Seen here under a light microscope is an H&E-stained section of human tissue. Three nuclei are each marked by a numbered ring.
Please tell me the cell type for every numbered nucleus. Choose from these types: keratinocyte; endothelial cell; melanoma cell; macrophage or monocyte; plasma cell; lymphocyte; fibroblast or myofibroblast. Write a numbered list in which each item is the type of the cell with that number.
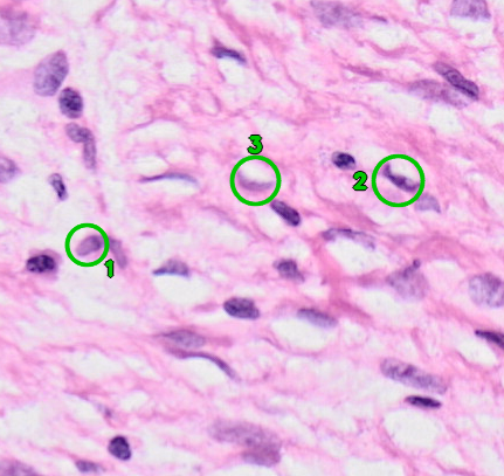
1. macrophage or monocyte
2. fibroblast or myofibroblast
3. fibroblast or myofibroblast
